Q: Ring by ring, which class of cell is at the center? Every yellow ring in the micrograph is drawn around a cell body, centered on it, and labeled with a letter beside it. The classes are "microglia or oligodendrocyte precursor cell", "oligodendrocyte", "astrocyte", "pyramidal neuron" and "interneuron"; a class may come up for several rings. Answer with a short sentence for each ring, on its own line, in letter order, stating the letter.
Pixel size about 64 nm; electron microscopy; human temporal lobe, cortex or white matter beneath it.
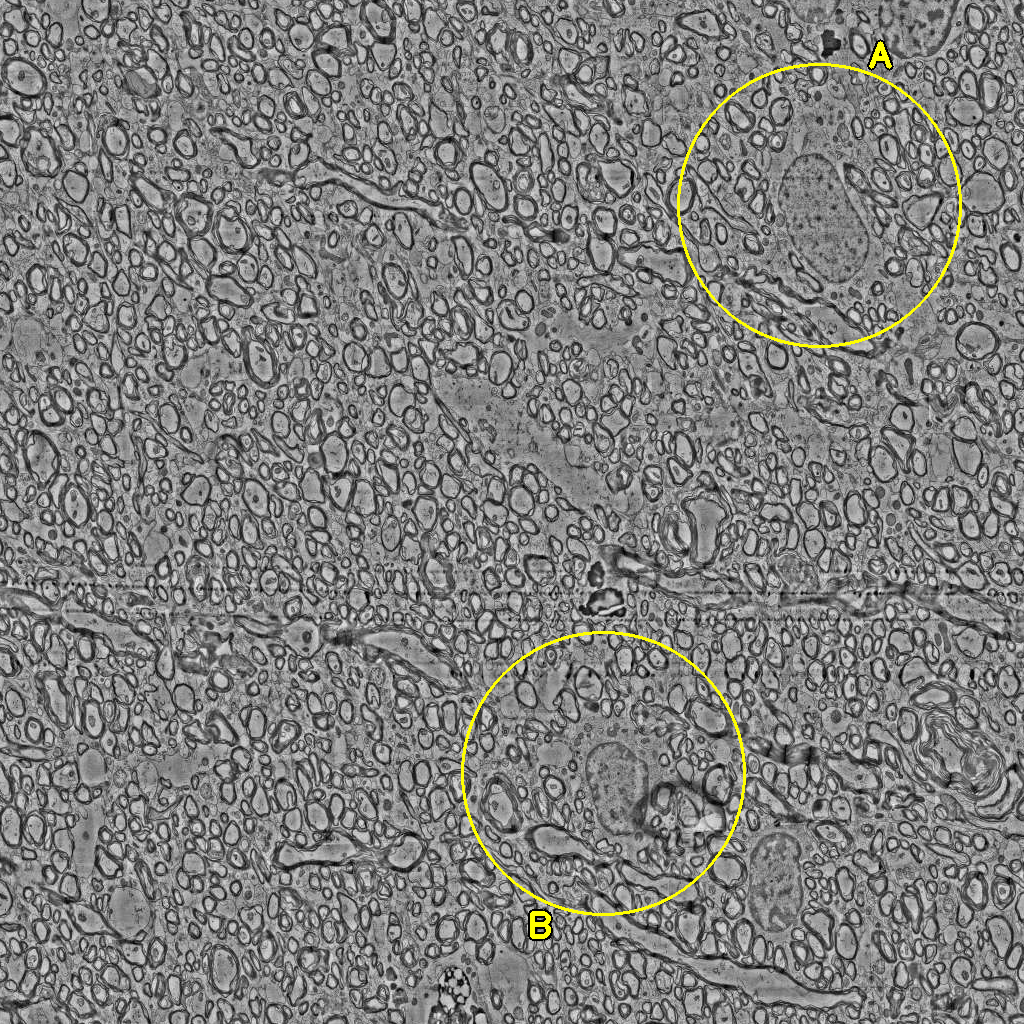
Ring A holds an astrocyte at its center.
Ring B holds an oligodendrocyte at its center.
